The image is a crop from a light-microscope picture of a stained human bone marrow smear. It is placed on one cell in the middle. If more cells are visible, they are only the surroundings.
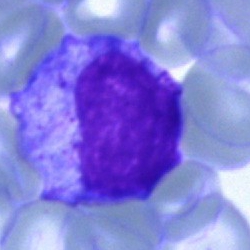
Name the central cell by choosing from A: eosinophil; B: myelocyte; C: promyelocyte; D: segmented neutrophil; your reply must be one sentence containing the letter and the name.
The cell in the middle is a promyelocyte, so option C is correct.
